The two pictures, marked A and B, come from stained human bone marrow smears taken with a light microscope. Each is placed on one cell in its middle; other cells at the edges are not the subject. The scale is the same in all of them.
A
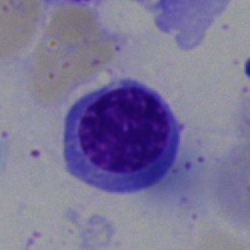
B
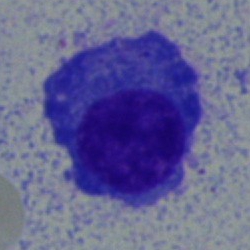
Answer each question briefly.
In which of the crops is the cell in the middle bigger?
B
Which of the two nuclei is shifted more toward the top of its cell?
A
